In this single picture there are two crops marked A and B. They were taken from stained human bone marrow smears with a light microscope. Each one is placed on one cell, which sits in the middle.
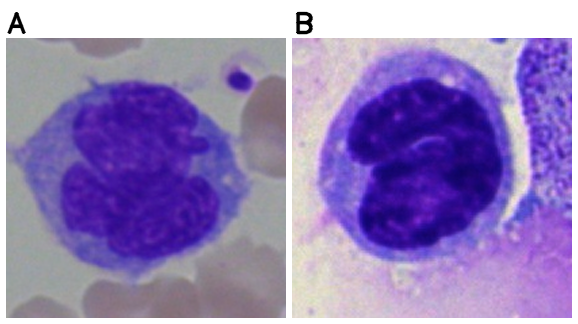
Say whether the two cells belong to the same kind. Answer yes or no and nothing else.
yes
